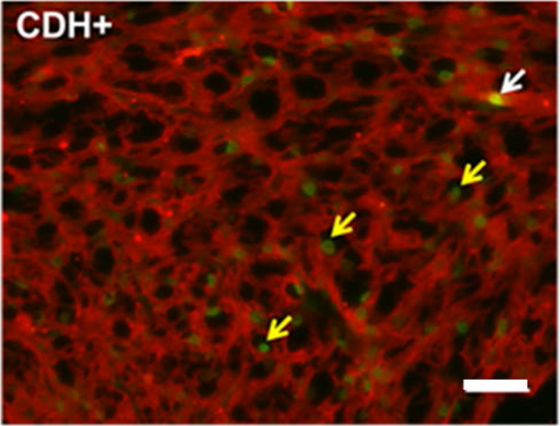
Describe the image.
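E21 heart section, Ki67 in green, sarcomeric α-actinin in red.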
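Red-stained muscle cells form an interlacing network around many dark, rounded or elongated spaces. Small oval green nuclei are scattered through the field. The muscle strands are arranged loosely and in varied directions.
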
